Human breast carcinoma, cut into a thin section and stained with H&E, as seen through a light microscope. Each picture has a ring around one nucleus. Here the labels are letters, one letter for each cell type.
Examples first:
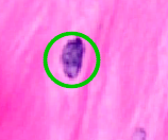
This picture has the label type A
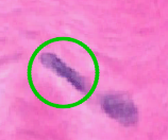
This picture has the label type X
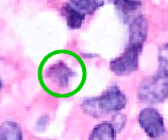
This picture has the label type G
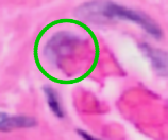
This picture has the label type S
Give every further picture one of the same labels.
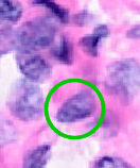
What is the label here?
type G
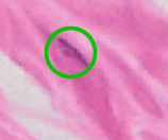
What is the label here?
type X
